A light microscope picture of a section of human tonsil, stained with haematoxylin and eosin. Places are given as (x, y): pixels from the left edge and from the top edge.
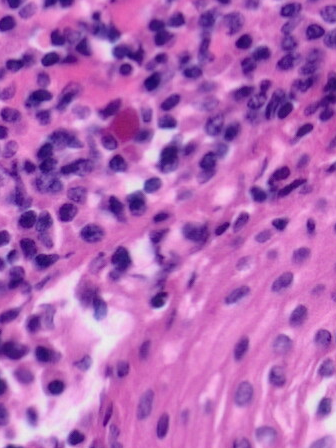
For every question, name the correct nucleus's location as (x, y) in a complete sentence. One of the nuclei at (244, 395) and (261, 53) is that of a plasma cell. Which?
Identify the nucleus at (261, 53) as the one belonging to a plasma cell.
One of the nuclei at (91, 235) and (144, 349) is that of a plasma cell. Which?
The nucleus lying at (91, 235) is the nucleus of a plasma cell.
